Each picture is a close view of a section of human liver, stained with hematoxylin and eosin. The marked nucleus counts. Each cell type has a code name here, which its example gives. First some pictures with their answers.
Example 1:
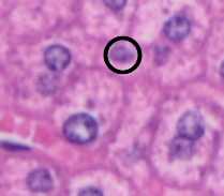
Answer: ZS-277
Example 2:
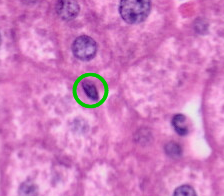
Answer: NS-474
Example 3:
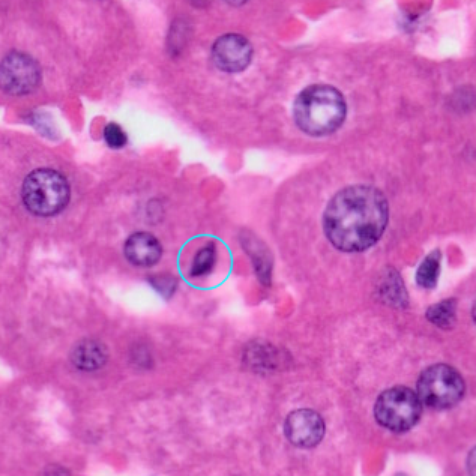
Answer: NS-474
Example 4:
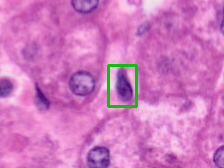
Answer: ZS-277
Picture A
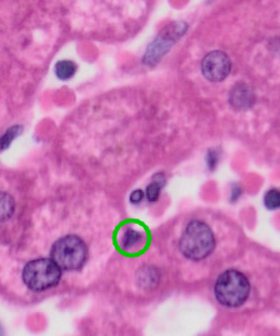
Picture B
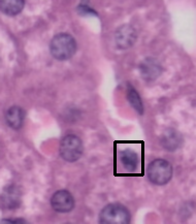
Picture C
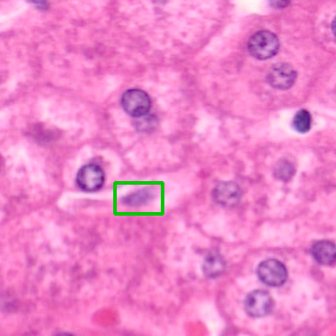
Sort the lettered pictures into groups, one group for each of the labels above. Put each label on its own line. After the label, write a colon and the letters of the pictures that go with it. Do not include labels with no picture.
ZS-277: C
NS-474: A, B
